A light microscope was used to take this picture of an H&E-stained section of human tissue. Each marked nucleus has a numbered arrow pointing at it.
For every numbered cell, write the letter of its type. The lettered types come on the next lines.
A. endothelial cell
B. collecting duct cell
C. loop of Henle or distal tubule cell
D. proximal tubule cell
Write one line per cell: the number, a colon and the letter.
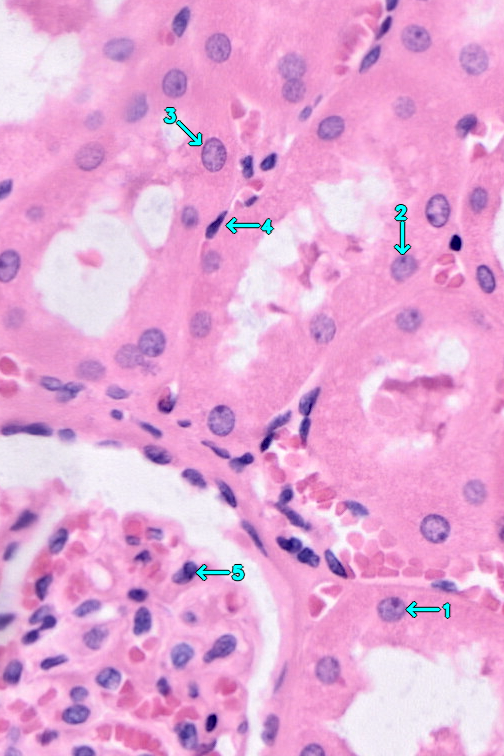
1: D
2: D
3: D
4: A
5: A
